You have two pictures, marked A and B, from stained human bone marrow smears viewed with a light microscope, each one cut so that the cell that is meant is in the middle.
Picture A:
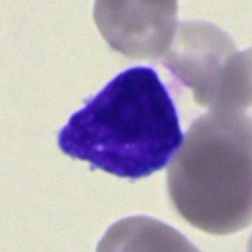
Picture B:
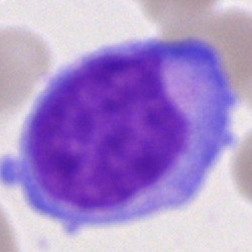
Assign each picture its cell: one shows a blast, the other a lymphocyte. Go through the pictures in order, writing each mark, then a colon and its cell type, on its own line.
A: lymphocyte
B: blast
